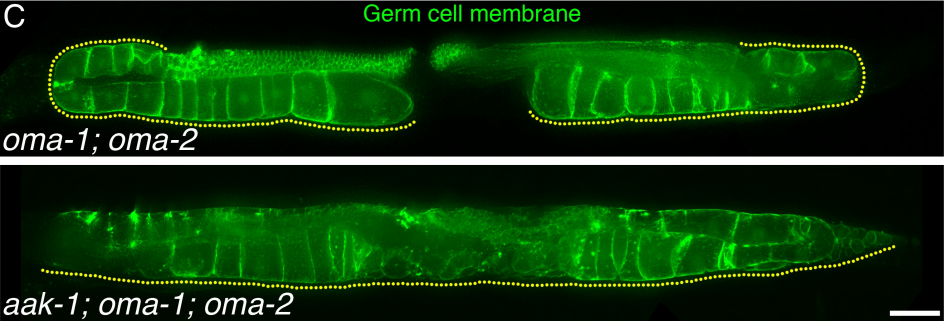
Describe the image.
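In the upper worm, each gonad arm bends back on itself. Its distal part is packed with many small, closely set germ cells forming a fine honeycomb. In the lower worm, large oocytes fill nearly the whole length of the body. They are stacked in long rows, and the crowded small-celled distal region is barely seen. The membrane outlines of these oocytes are somewhat irregular.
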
